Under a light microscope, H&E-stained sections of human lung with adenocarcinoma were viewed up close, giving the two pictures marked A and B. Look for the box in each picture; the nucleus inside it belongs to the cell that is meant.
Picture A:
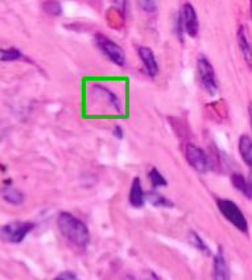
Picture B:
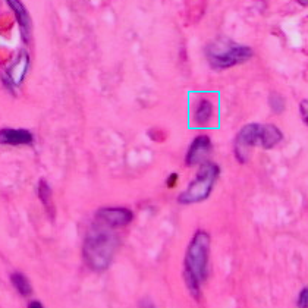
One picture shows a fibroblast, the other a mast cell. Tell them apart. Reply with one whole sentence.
Picture A shows a fibroblast and picture B shows a mast cell.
